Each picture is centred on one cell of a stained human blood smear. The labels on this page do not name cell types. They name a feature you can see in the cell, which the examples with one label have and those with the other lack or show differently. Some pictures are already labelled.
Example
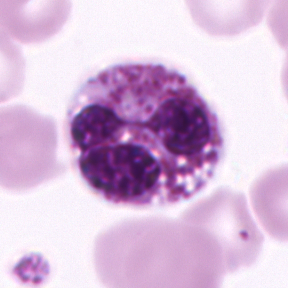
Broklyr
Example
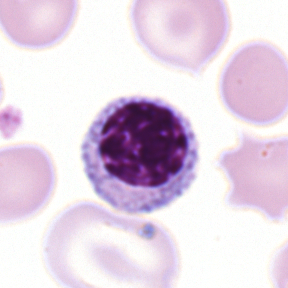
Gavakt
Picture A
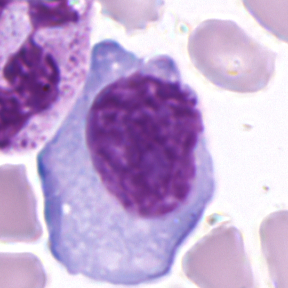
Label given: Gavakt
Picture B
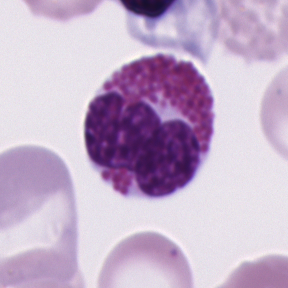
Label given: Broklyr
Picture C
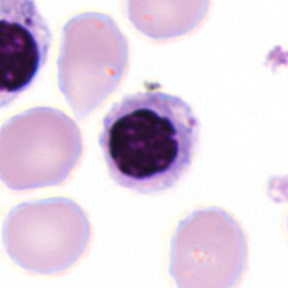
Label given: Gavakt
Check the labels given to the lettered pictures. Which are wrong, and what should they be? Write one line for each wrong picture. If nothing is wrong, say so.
Nothing to fix; every label fits.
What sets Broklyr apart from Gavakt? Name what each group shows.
Broklyr, smooth outline; Gavakt, ragged outline or projections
